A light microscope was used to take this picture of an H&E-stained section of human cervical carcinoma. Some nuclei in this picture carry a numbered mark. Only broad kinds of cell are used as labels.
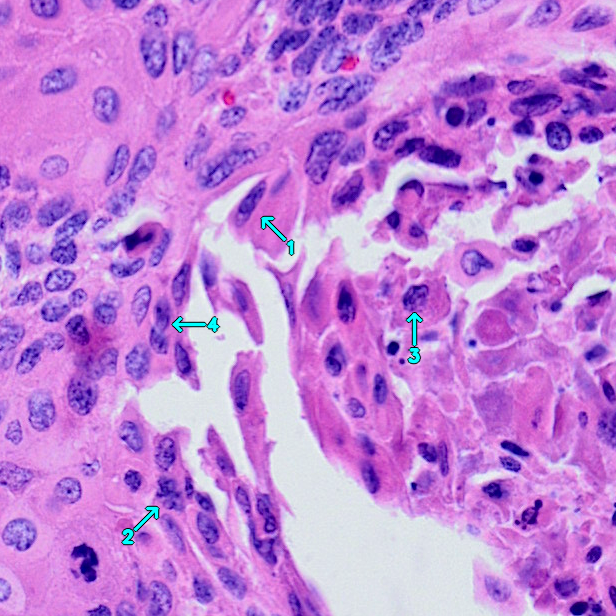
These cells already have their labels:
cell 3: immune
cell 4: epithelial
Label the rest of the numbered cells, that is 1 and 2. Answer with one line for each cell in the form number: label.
1: epithelial
2: epithelial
